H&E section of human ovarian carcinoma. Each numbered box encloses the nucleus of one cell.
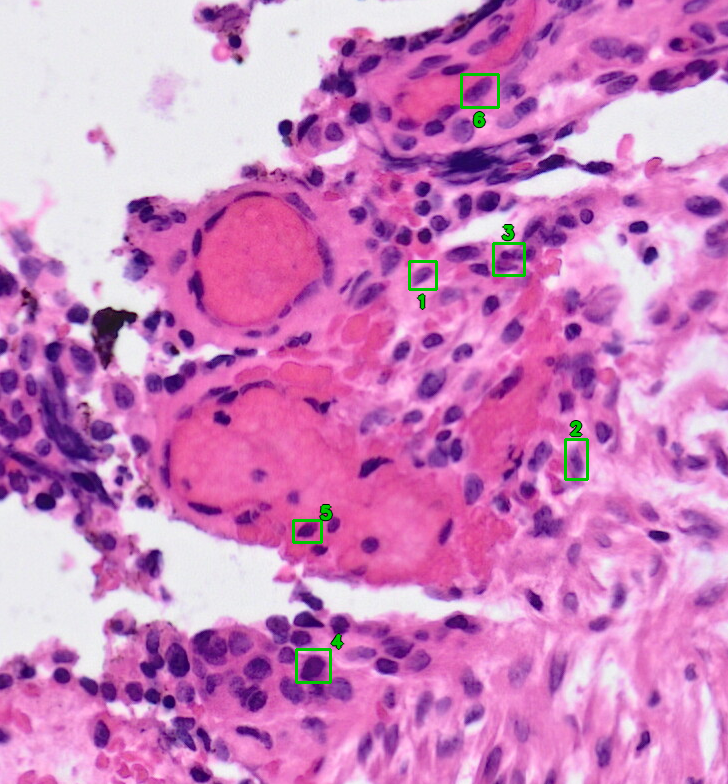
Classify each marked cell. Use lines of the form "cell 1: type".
cell 1: fibroblast
cell 2: fibroblast
cell 3: macrophage or monocyte
cell 4: carcinoma cell
cell 5: endothelial cell
cell 6: endothelial cell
